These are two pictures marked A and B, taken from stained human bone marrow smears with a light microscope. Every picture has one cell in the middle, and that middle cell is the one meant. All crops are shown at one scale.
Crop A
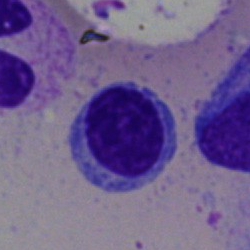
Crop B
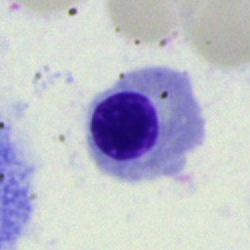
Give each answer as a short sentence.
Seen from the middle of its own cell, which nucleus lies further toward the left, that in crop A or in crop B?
It is the nucleus in crop B that lies further toward the left of its cell.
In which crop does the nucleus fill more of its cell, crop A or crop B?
The nucleus fills more of the cell in crop A than in crop B.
